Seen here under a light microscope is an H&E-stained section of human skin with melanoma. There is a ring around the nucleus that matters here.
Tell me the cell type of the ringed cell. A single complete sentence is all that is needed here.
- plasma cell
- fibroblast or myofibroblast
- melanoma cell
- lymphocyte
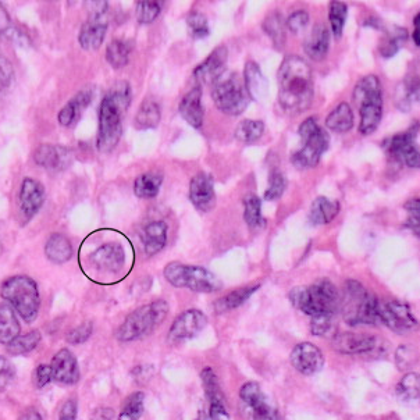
In the tissue at hand, the ringed cell is a melanoma cell.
